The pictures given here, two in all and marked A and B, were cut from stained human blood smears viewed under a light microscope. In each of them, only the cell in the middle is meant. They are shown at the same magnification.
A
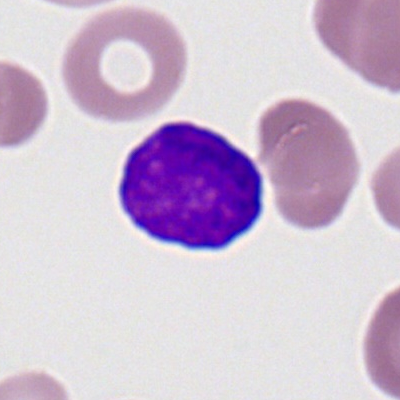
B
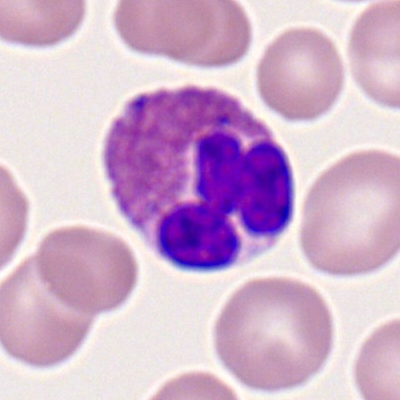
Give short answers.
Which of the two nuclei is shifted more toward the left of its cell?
A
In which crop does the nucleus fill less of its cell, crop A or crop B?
B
